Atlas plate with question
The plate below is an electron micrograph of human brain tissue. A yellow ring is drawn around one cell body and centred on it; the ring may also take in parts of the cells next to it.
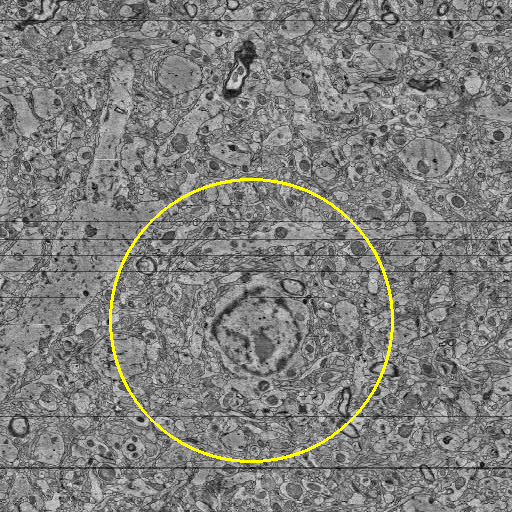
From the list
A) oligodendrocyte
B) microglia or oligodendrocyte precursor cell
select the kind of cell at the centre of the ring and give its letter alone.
B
